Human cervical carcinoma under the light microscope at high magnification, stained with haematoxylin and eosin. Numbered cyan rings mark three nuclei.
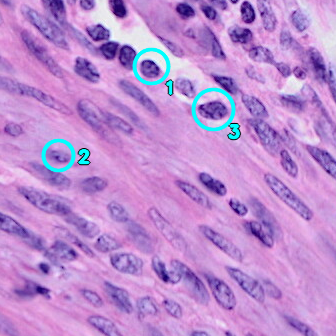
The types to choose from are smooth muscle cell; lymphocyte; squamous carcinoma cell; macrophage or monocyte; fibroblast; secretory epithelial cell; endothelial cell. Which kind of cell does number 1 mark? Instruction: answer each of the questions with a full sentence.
The identity of cell 1 is that of a lymphocyte.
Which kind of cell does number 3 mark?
As for number 3, that cell is a lymphocyte.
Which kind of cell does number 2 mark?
Among the marked nuclei, number 2 belongs to a smooth muscle cell.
